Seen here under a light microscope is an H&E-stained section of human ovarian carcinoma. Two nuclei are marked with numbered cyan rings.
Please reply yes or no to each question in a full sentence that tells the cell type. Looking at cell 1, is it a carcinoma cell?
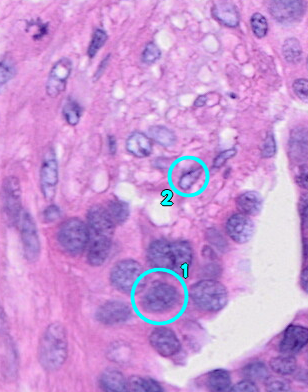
Yes, the cell that the number 1 labels is a carcinoma cell.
